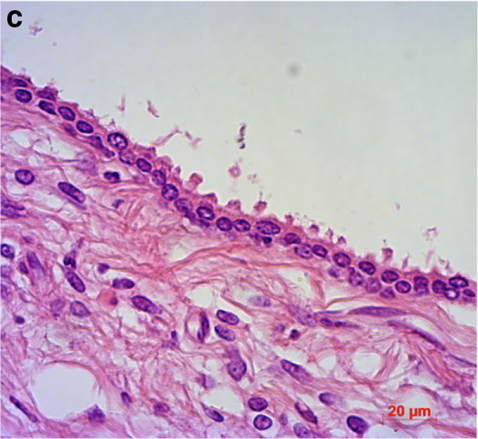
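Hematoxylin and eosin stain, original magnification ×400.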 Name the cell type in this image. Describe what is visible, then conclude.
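Cuboidal to low columnar epithelial. A single row of cells lines a free surface. The cells are about as tall as wide or slightly taller. Each cell has one round to oval purple nucleus.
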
